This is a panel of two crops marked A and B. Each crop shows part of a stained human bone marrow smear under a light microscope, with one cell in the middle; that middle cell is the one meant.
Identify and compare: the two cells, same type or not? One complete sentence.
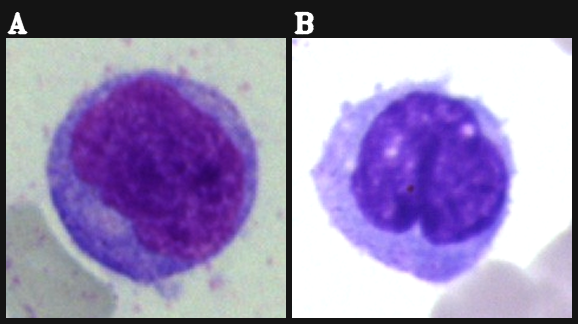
Yes, both crops alike show monocytes at the centre.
